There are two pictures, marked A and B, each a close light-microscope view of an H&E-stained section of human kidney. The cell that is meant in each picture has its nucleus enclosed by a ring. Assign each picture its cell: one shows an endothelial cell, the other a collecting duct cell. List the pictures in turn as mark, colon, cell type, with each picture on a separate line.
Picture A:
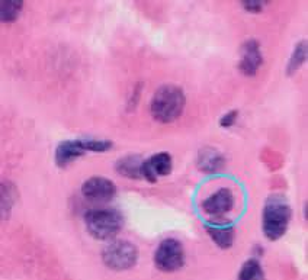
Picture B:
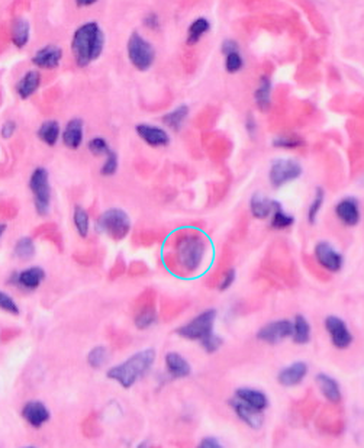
A: collecting duct cell
B: endothelial cell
